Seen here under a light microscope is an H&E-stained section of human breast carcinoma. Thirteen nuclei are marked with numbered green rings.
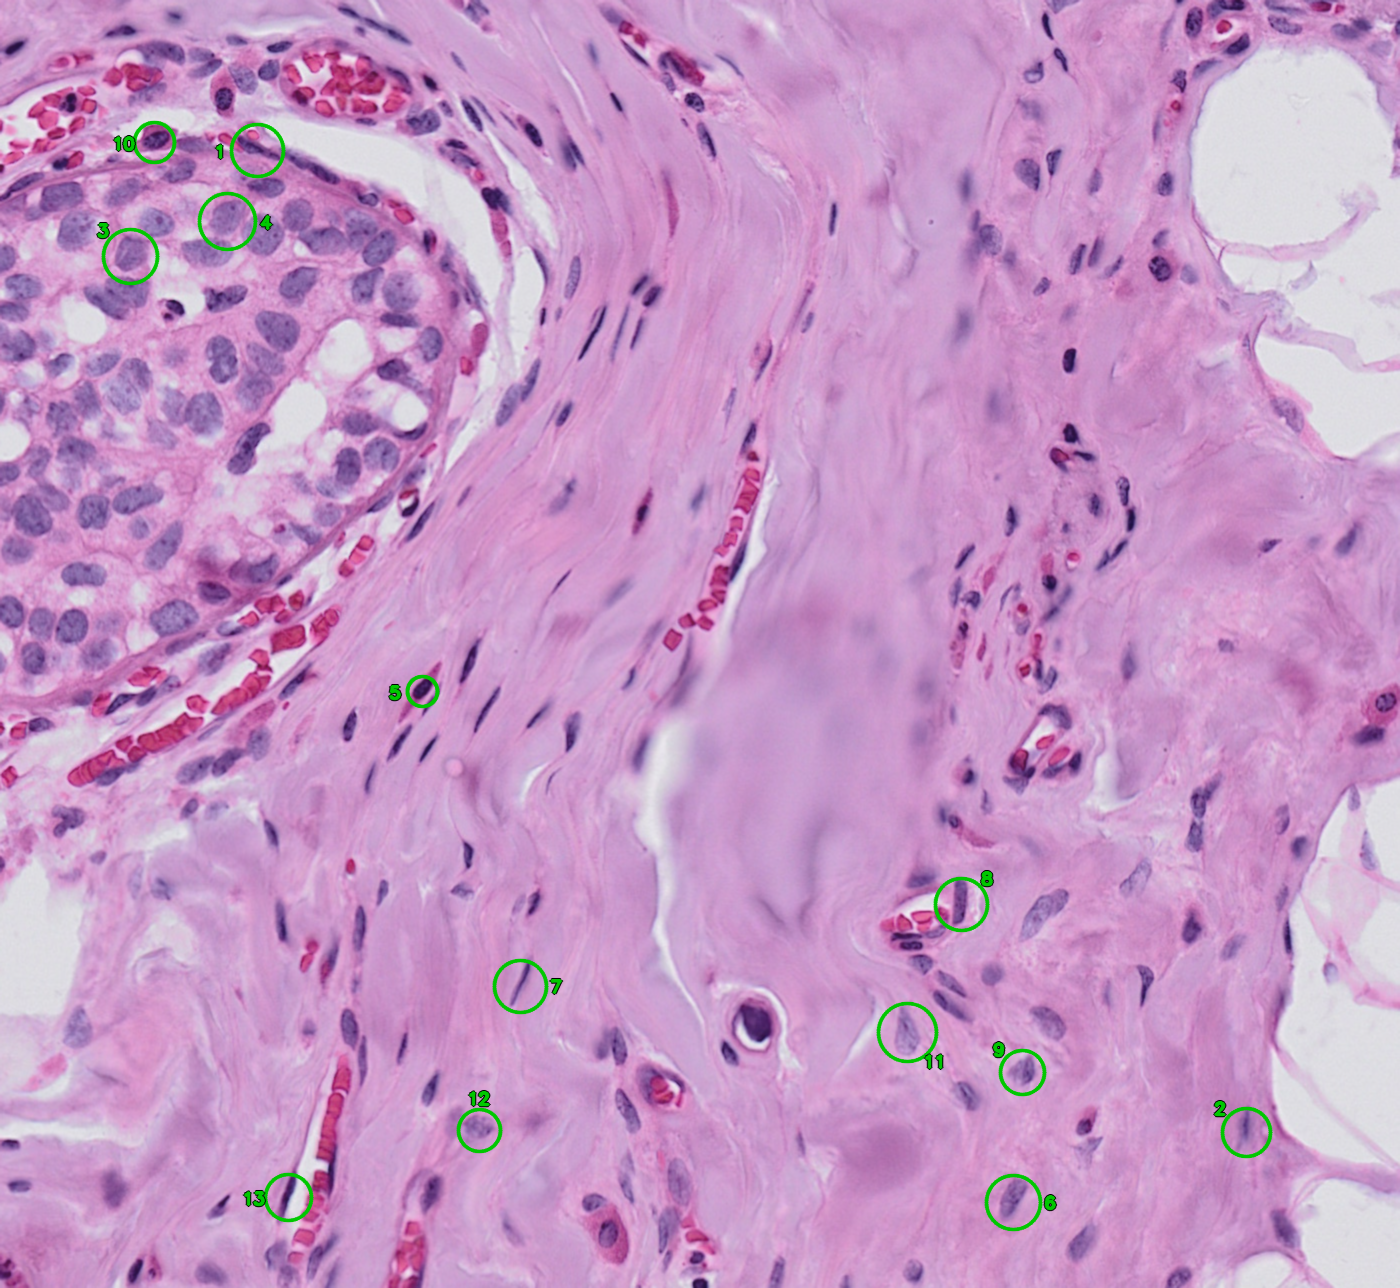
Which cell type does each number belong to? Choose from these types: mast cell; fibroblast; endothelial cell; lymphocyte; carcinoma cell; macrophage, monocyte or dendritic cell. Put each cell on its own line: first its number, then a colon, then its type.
1: endothelial cell
2: fibroblast
3: carcinoma cell
4: carcinoma cell
5: mast cell
6: fibroblast
7: fibroblast
8: endothelial cell
9: fibroblast
10: mast cell
11: fibroblast
12: fibroblast
13: endothelial cell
